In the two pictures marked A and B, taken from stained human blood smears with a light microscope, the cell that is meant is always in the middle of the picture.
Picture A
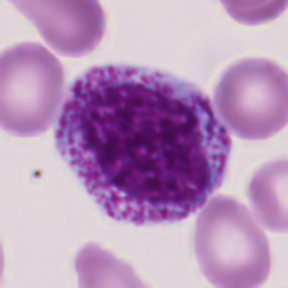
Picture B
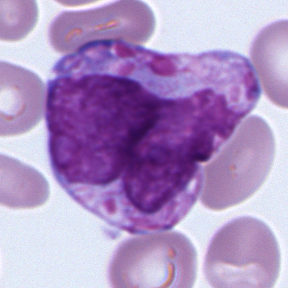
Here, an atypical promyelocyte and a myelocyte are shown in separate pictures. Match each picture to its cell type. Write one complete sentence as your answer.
It is picture A that shows a myelocyte, and picture B that shows an atypical promyelocyte.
